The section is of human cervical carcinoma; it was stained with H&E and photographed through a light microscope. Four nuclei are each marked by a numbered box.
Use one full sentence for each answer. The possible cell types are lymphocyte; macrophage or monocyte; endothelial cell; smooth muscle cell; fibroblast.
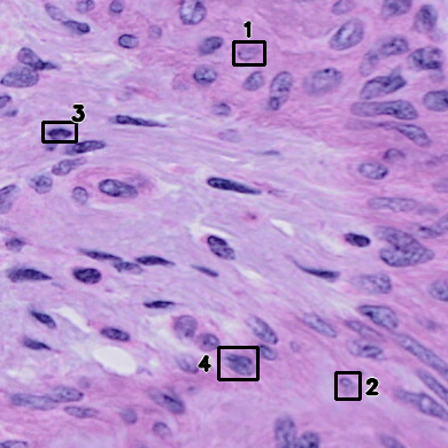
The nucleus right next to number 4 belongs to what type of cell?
The nearest nucleus to number 4 belongs to a smooth muscle cell.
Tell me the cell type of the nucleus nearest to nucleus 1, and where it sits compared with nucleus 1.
Just below nucleus 1 lies the nearest nucleus, which belongs to a smooth muscle cell.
